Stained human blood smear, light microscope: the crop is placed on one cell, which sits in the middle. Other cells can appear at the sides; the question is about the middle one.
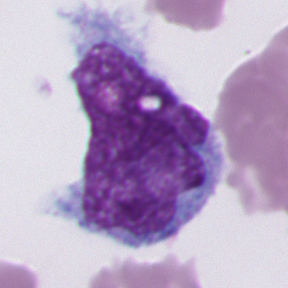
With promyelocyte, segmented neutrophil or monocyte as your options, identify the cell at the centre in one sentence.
The cell at the heart of this crop is a monocyte.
